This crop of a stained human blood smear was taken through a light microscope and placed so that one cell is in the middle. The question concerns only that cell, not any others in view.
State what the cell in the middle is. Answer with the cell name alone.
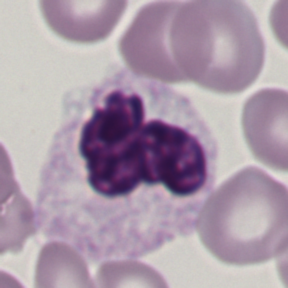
segmented neutrophil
